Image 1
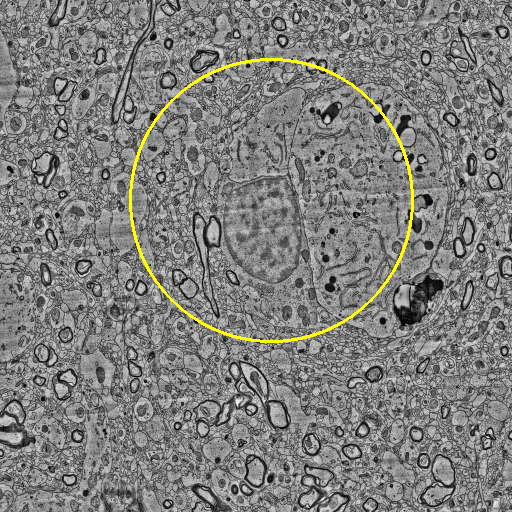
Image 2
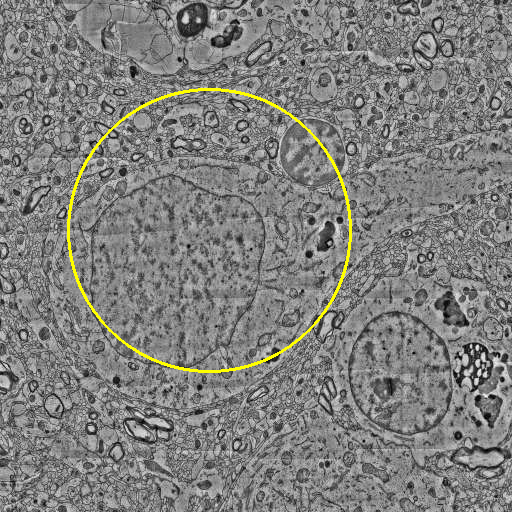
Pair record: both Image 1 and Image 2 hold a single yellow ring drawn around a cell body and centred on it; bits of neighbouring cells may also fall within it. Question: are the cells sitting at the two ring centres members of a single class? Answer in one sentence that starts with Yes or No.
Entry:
No, the ring-centre cells in Image 1 and Image 2 come from two classes.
